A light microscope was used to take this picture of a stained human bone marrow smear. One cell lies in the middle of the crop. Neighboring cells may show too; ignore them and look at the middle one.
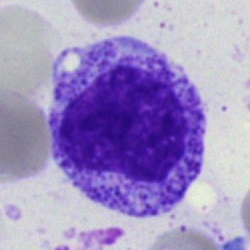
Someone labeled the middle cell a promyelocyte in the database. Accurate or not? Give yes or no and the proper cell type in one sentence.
Yes, the cell at the middle of the field is to be classed as a promyelocyte.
